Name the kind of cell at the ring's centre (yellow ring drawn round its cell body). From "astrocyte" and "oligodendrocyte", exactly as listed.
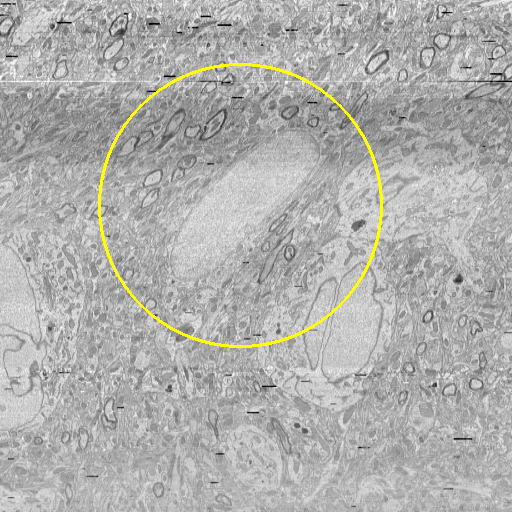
astrocyte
